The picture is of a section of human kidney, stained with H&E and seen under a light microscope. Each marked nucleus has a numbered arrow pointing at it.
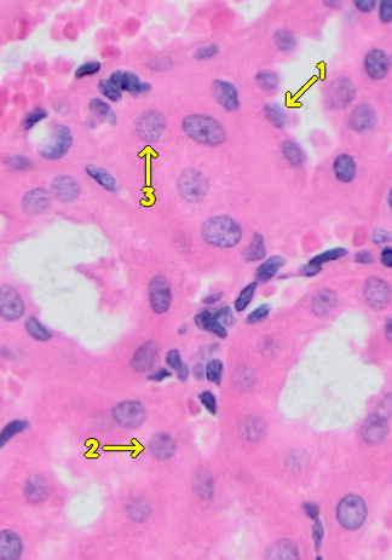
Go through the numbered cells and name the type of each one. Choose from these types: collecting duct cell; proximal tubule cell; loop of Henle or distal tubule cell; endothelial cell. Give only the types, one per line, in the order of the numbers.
loop of Henle or distal tubule cell
proximal tubule cell
proximal tubule cell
